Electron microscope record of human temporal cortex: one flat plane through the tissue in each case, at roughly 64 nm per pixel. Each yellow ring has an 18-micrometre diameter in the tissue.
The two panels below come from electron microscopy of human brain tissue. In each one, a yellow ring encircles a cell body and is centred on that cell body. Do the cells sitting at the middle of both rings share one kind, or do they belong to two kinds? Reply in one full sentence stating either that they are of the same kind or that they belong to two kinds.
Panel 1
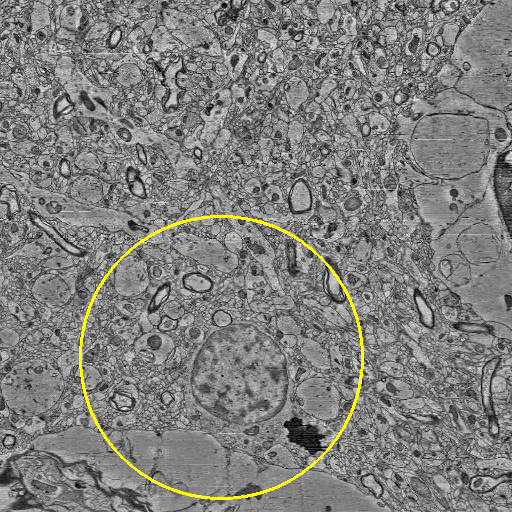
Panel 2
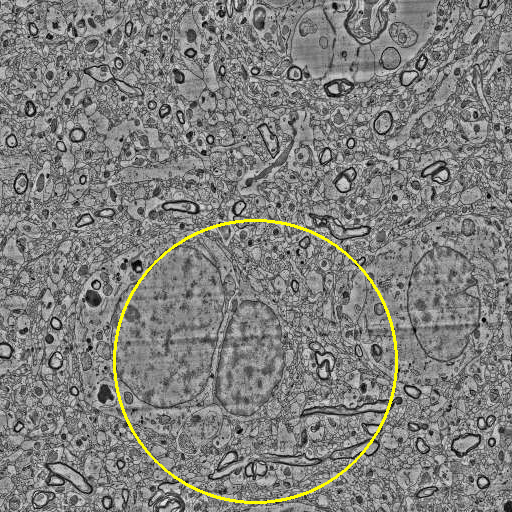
The cells at the centres of the two rings are of the same kind.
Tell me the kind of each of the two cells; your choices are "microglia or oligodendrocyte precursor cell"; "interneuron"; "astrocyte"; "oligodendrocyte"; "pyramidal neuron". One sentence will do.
Each one of the two ringed cells is an oligodendrocyte.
